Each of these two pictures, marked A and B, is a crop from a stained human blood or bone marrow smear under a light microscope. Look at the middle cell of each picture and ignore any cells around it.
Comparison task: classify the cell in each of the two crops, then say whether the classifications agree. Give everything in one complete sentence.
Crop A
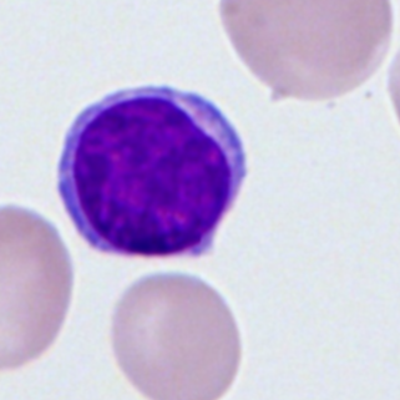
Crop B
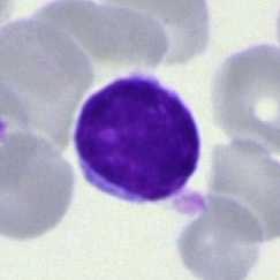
Yes, in the two crops, lymphocytes are the cells at the centre.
